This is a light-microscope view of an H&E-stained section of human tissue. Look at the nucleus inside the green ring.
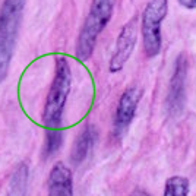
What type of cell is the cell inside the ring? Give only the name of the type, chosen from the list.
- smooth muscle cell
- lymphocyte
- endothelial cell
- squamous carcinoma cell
smooth muscle cell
